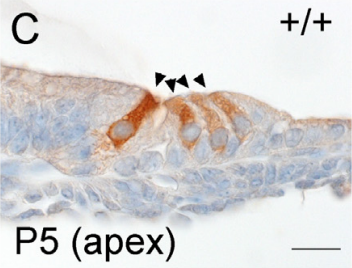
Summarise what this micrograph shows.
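This is the sensory epithelium of the organ of Corti, with flask-shaped hair cells sitting at the surface on a bed of supporting cells. One plump hair cell at the inner side is stained strongly brown, and a row of slimmer hair cells beside it also carries brown staining, while the supporting cells below have blue nuclei.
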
